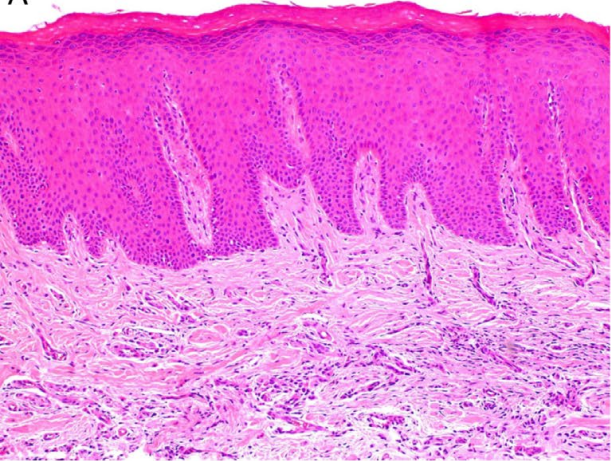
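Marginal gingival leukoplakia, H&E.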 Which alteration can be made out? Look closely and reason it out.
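The squamous epithelium is markedly thickened. That points to this answer: acanthosis.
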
